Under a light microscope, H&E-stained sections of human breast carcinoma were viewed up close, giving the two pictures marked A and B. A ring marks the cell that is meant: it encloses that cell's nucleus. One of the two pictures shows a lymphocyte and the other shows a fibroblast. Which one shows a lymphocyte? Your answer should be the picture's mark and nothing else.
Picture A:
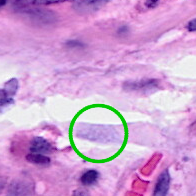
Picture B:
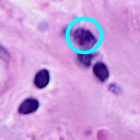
B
